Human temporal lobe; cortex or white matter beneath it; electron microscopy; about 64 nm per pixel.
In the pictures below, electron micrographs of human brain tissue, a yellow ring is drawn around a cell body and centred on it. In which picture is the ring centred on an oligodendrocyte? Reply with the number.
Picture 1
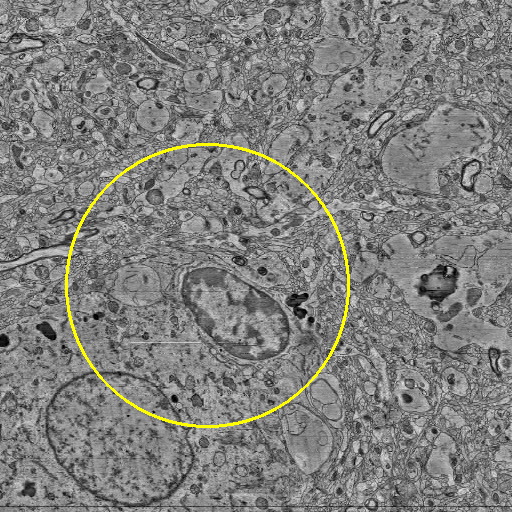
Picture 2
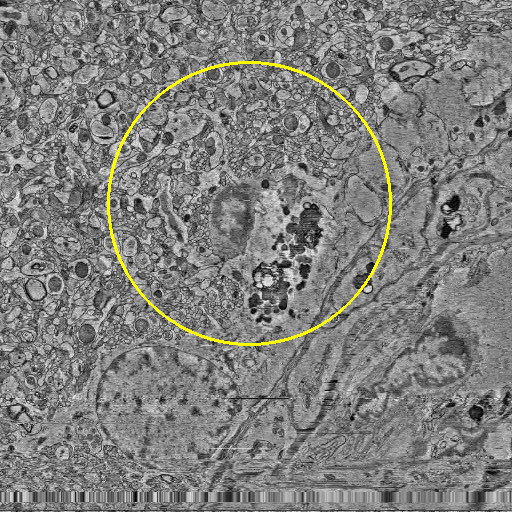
2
